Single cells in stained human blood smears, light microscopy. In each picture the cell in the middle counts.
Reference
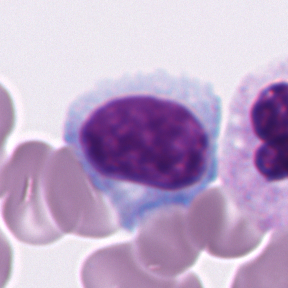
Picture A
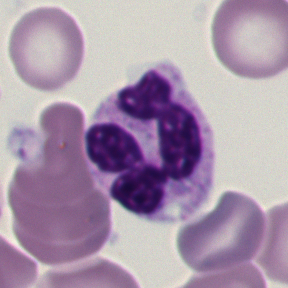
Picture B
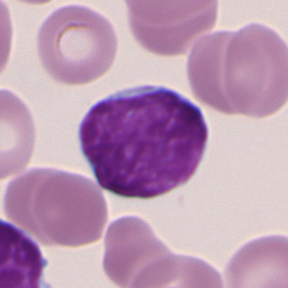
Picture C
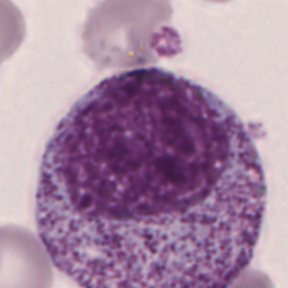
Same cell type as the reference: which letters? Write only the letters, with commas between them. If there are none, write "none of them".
B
